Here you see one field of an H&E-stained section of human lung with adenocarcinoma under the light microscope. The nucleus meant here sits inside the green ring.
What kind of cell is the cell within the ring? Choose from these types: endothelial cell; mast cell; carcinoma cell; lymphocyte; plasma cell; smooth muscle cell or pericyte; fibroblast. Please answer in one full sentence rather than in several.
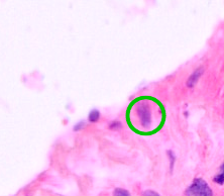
As for its identity, the cell within the ring is a smooth muscle cell or pericyte.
